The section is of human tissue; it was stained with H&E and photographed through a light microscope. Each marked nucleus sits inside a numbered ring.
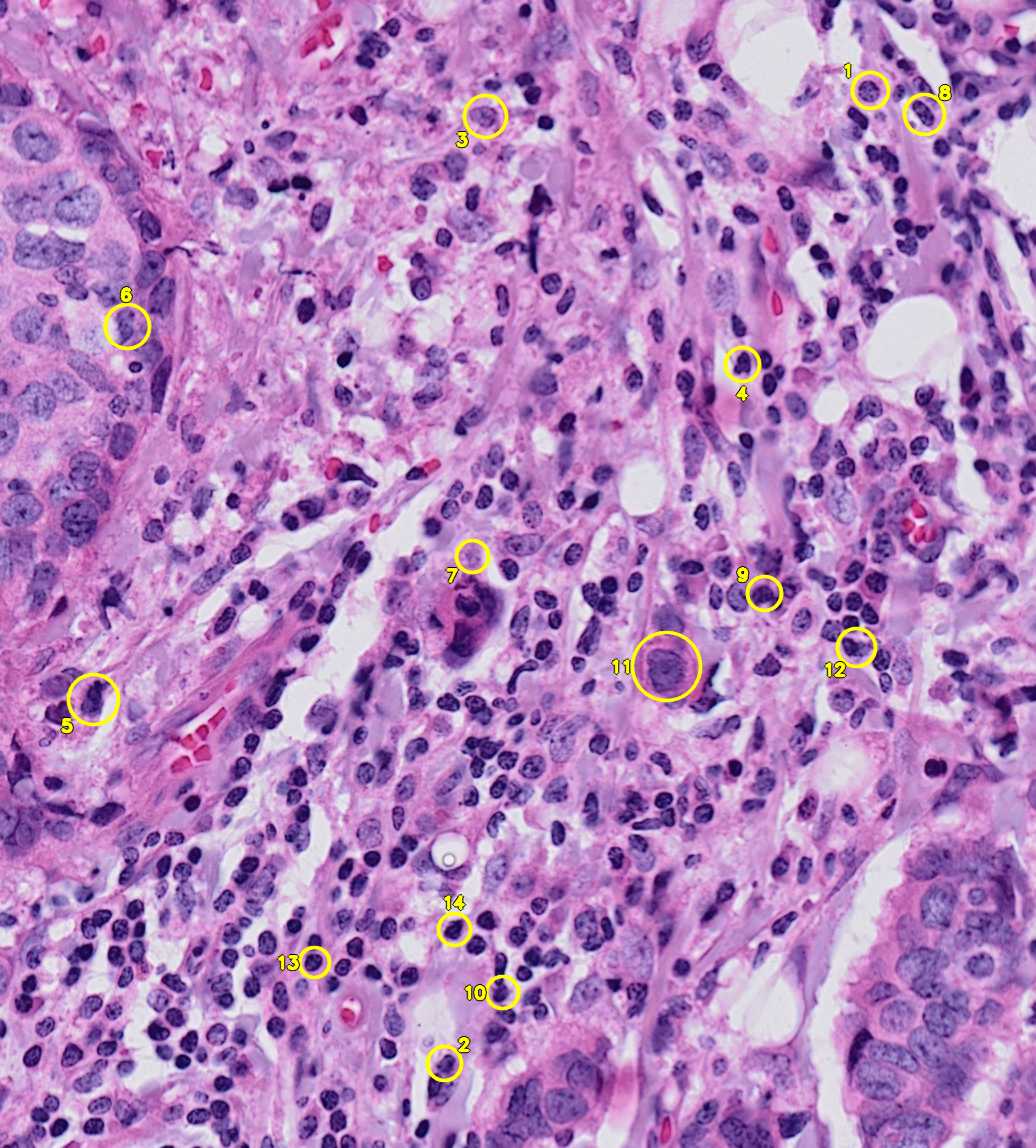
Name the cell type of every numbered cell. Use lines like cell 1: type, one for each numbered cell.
cell 1: mast cell
cell 2: lymphocyte
cell 3: macrophage, monocyte or dendritic cell
cell 4: lymphocyte
cell 5: carcinoma cell
cell 6: carcinoma cell
cell 7: macrophage, monocyte or dendritic cell
cell 8: lymphocyte
cell 9: lymphocyte
cell 10: lymphocyte
cell 11: carcinoma cell
cell 12: lymphocyte
cell 13: lymphocyte
cell 14: lymphocyte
